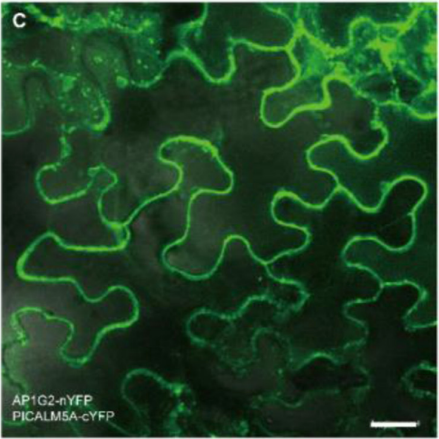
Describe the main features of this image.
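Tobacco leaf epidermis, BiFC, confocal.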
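Green fluorescence lines the periphery of each cell, tracing the lobes and indentations of the cell borders. Along these borders small bright green dots and specks are scattered. The interiors of the cells are largely dark, as expected where a large central vacuole fills the cell. Neighbouring cells fit tightly together without gaps, forming a continuous single layer.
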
